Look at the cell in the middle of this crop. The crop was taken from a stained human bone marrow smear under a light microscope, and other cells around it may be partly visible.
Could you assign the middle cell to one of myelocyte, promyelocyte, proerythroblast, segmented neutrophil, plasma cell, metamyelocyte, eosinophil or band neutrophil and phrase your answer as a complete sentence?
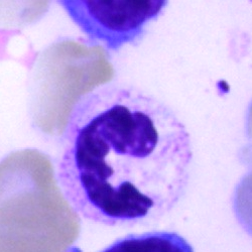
The middle of this crop is occupied by a segmented neutrophil.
